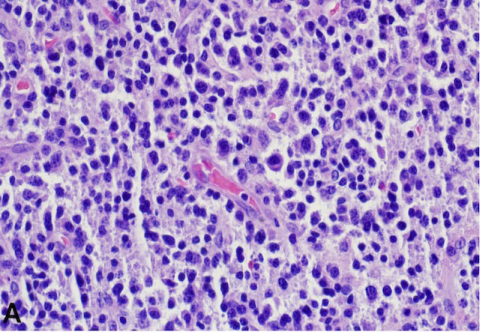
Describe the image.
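Here we look at a tumor made of sheets of plasma cells. The cells lie packed together with hardly any stroma between them, only a few thin vessels with pink walls crossing the field. Each cell is round to oval, with a round, dark purple nucleus that often sits off to one side, and a rim of pink to lilac cytoplasm around it. A few cells are larger with bigger nuclei. There is no glandular or layered arrangement: the tumor simply grows as a diffuse, solid sheet of these cells.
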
